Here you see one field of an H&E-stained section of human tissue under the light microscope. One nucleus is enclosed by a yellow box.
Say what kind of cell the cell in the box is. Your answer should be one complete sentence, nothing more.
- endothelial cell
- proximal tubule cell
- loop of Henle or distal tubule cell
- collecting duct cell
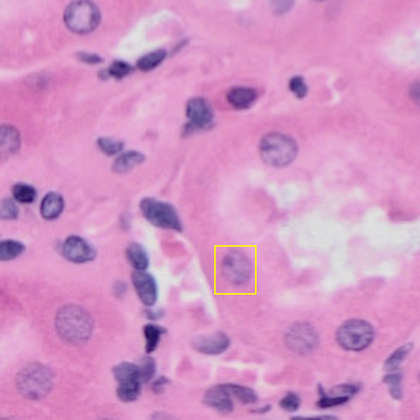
As to its cell type, the cell in the box is a proximal tubule cell.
